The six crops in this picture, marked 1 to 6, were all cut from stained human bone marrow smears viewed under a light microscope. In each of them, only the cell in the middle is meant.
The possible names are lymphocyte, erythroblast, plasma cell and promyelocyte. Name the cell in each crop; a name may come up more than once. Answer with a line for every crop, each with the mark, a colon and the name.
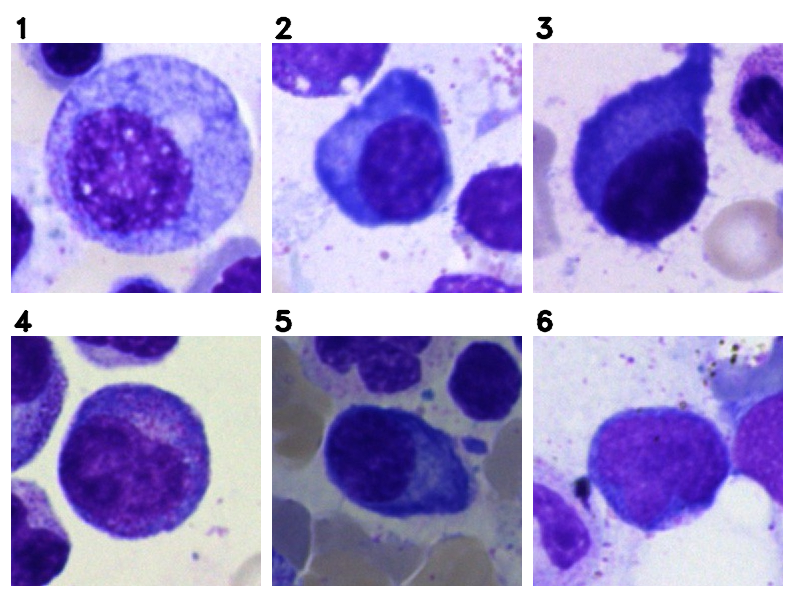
1: promyelocyte
2: plasma cell
3: plasma cell
4: promyelocyte
5: plasma cell
6: lymphocyte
